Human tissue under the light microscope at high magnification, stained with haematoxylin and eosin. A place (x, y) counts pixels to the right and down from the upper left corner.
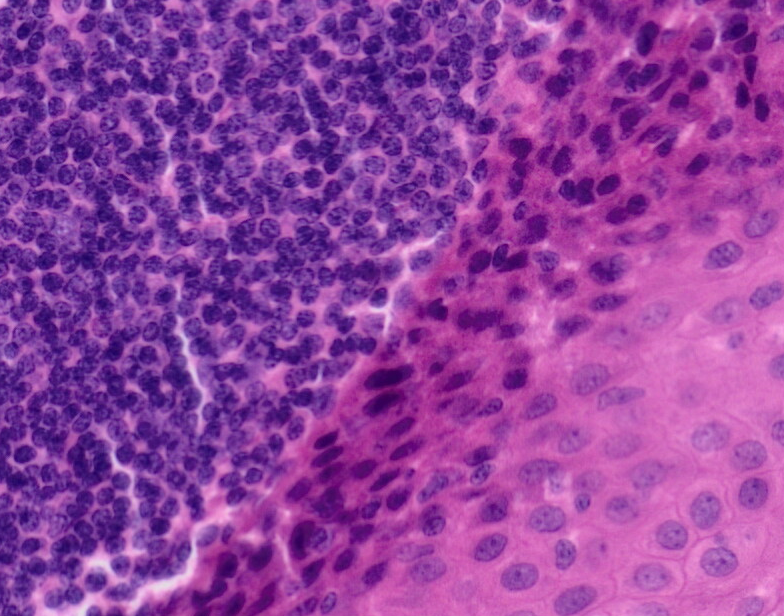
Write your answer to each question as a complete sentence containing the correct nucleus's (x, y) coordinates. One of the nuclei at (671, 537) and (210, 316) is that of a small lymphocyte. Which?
Among the two nuclei, the one found at (210, 316) belongs to a small lymphocyte.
